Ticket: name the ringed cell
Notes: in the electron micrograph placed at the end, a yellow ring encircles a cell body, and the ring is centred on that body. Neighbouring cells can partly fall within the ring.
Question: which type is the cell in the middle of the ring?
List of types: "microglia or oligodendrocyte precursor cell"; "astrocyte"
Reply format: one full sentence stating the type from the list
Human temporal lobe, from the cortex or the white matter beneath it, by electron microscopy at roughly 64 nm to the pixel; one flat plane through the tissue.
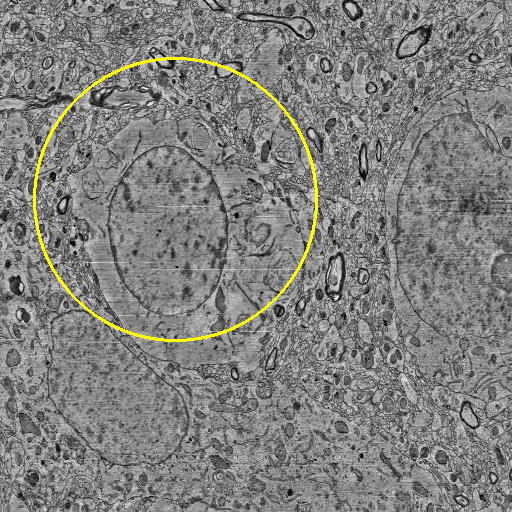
The cell sitting at the centre of the yellow ring is an astrocyte.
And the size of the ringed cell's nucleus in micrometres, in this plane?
In this plane, approximately 11 by 8 micrometers, and clearly longer than it is wide.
